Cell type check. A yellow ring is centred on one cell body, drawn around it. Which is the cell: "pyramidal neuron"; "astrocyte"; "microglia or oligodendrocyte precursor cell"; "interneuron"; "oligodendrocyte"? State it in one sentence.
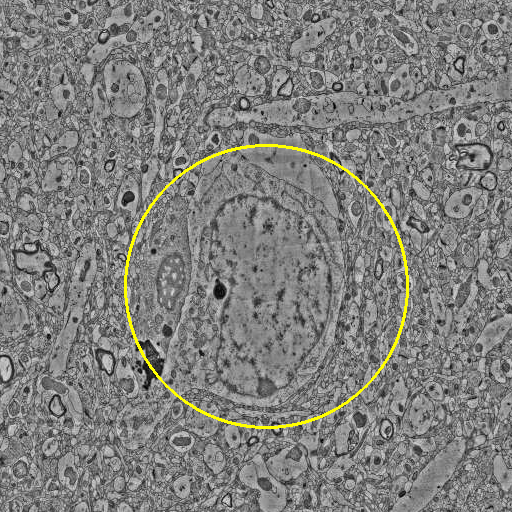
The cell body at the ring's centre belongs to an interneuron.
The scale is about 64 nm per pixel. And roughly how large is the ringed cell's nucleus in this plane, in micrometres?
The nucleus of the ringed cell is approximately 13 by 8 micrometres in this plane.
